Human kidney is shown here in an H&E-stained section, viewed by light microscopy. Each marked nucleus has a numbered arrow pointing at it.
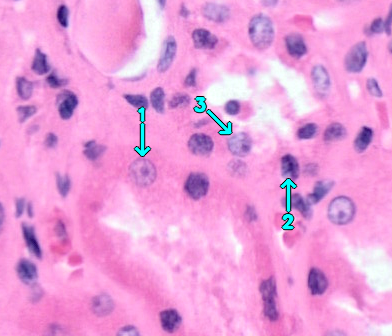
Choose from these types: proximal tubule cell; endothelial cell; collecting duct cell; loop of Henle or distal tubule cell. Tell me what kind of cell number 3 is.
loop of Henle or distal tubule cell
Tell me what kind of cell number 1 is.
proximal tubule cell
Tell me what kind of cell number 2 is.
loop of Henle or distal tubule cell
